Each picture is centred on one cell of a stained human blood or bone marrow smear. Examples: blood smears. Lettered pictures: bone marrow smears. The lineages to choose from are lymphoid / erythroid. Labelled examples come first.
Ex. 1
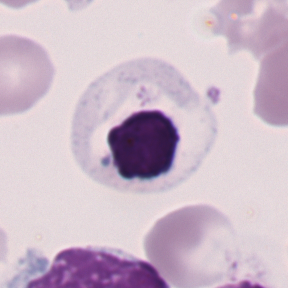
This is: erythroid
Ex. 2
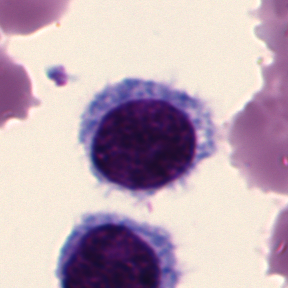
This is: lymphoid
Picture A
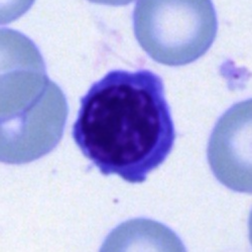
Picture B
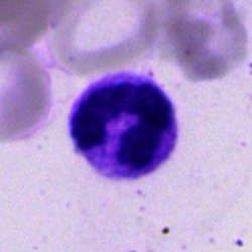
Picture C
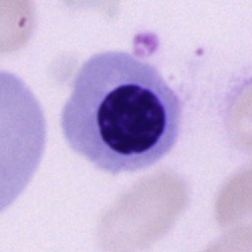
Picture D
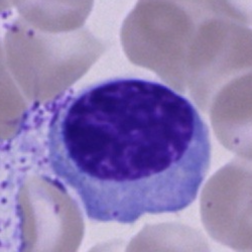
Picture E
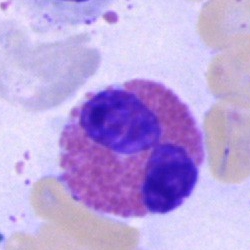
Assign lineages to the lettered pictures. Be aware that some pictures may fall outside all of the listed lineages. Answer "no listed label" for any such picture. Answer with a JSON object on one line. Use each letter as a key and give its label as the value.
{"A": "erythroid", "B": "no listed label", "C": "erythroid", "D": "lymphoid", "E": "no listed label"}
